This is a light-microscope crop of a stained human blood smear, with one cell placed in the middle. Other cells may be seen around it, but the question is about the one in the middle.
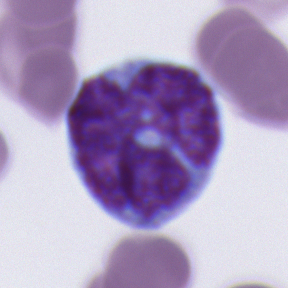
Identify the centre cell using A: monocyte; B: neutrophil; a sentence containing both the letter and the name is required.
The cell centered in the crop is a monocyte, making option A the correct pick.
